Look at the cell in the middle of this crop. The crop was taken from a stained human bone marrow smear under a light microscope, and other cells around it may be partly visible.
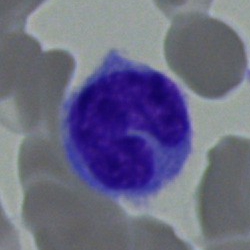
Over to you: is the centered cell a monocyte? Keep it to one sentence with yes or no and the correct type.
Yes, it is a monocyte that is seen at the centre of the crop.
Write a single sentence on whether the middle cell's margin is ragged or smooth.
The outline of this cell is not smooth but ragged or drawn out into projections.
